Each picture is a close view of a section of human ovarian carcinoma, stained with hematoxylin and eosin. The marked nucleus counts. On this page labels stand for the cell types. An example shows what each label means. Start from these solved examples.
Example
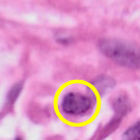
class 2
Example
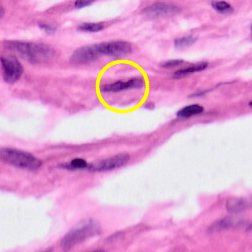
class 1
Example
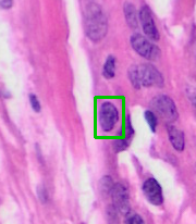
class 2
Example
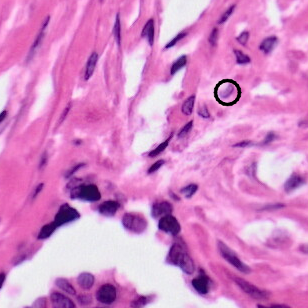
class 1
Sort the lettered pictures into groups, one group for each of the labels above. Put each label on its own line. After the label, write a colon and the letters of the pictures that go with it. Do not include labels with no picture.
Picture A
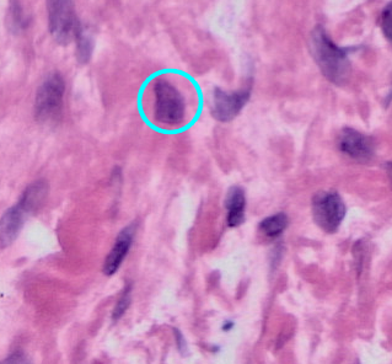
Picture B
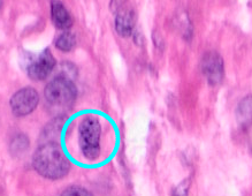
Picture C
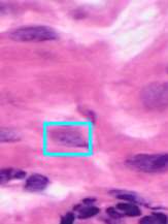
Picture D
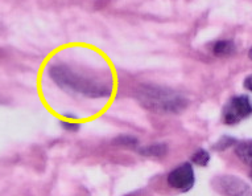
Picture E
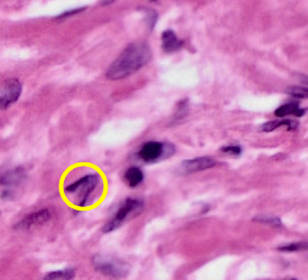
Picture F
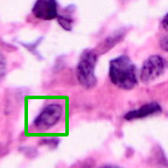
class 2: B, F
class 1: A, C, D, E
